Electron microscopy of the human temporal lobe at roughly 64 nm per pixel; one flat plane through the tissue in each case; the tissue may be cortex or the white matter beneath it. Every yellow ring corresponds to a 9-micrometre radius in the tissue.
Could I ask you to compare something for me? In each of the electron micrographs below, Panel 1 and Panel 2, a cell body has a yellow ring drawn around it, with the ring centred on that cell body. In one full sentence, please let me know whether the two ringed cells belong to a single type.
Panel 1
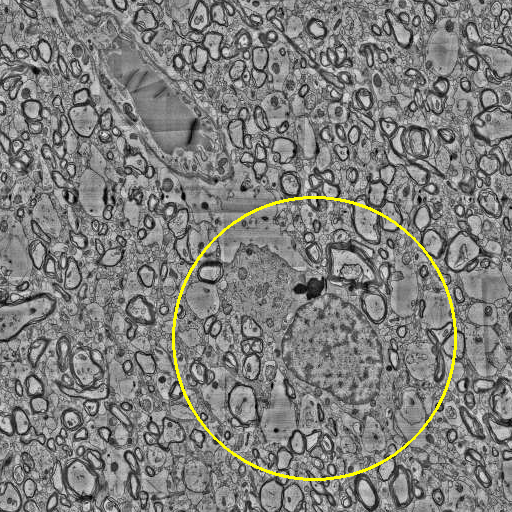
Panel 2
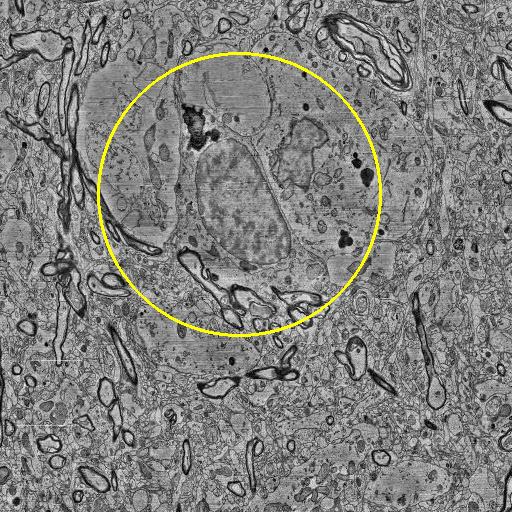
Yes, the two cells at the centres of the rings are of one type.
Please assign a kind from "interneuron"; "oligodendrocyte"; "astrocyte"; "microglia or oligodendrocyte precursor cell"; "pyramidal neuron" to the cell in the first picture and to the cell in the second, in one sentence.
Each of the two cells is an oligodendrocyte.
